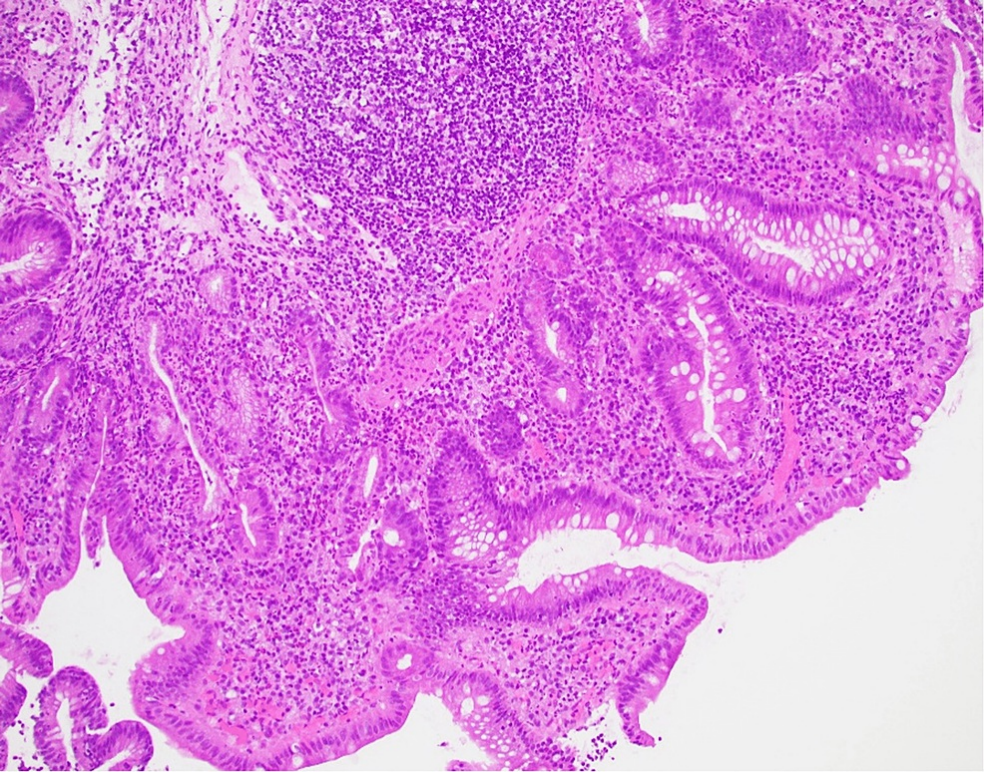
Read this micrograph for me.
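This is a piece of colonic mucosa stained pink and purple, with glandular crypts lined by columnar epithelium containing pale, rounded goblet cells. The crypts are irregular: they differ in size and shape, some are branched or cut obliquely, and they are unevenly spaced rather than lying in neat parallel rows. The stroma between them is crowded with small, dark, round nuclei of inflammatory cells, far more than the sparse cellularity of normal lamina propria. At the top a dense, rounded collection of tightly packed small dark cells forms a lymphoid aggregate. The surface is lined by a single layer of columnar epithelium with an undulating contour. Taken together, this shows crypt architectural distortion with increased lamina propria inflammation.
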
